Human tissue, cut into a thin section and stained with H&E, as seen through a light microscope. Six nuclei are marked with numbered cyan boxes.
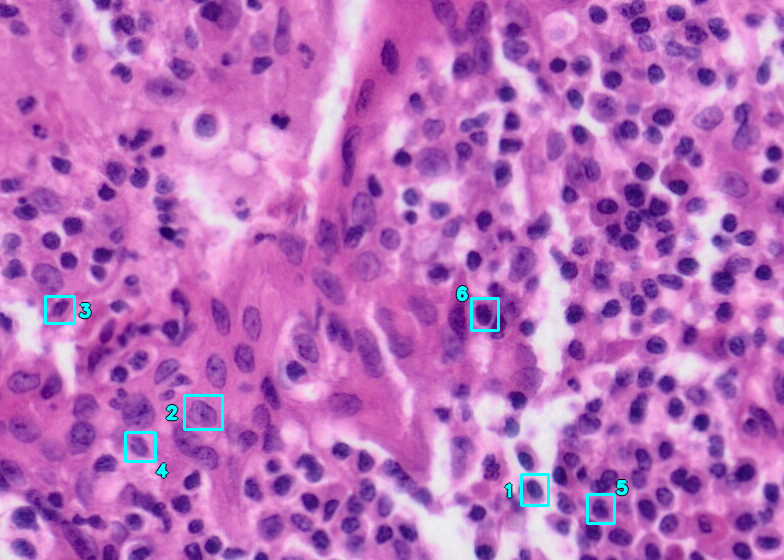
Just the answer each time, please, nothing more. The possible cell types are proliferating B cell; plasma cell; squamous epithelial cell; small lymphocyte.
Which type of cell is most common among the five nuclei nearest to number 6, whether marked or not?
squamous epithelial cell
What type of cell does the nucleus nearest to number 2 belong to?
squamous epithelial cell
